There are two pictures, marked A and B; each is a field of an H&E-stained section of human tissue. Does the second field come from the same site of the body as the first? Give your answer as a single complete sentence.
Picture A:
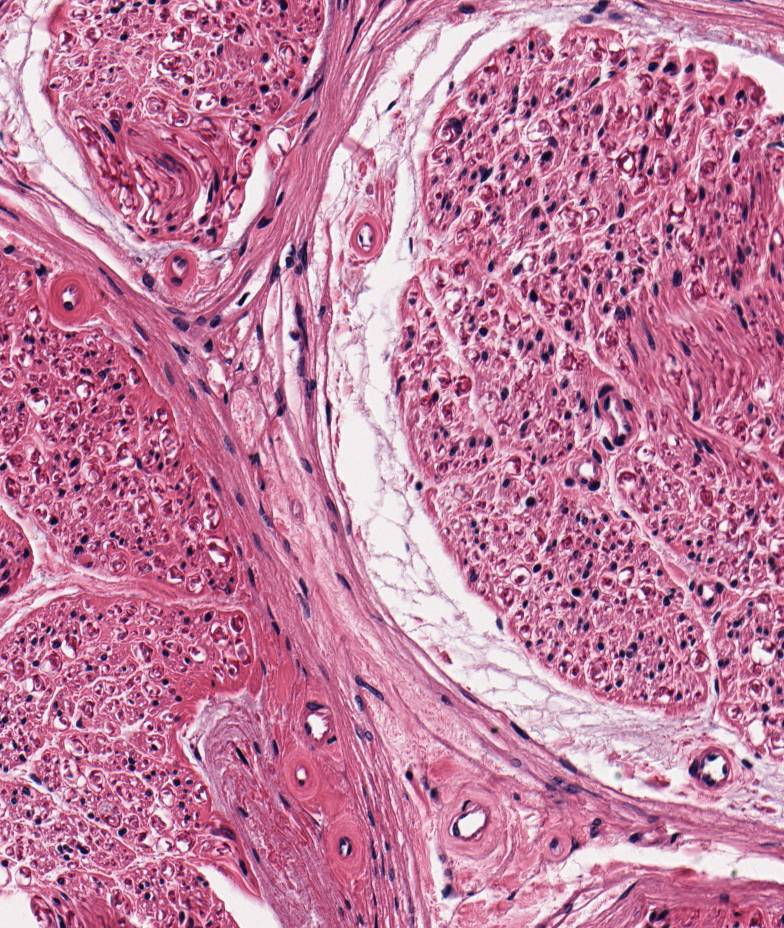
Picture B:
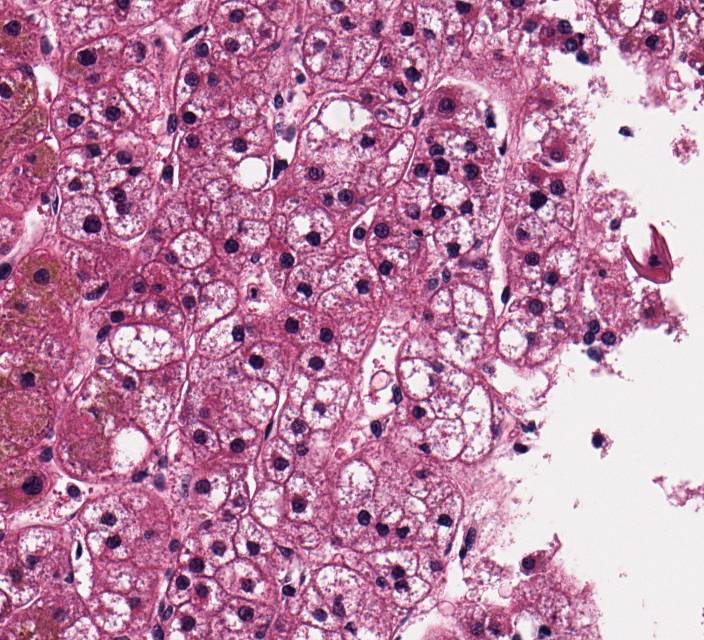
No: picture A comes from the tibial nerve, but picture B comes from the adrenal gland.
